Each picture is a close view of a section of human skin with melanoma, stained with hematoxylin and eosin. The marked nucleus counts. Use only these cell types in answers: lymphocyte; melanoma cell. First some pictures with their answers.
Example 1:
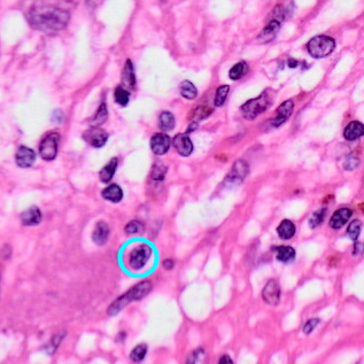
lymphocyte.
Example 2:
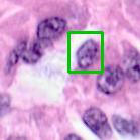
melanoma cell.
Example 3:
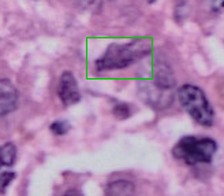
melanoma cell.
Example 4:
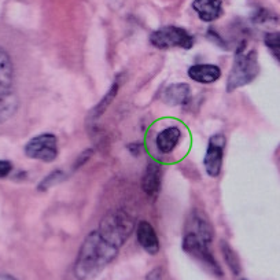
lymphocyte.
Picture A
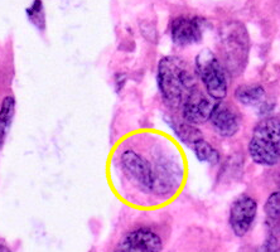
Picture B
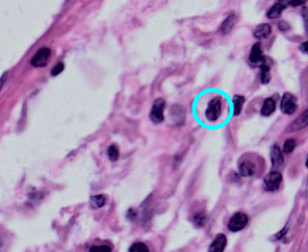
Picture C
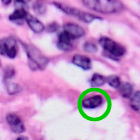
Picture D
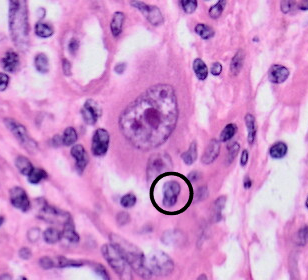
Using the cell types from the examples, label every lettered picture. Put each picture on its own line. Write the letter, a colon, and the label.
A: melanoma cell.
B: lymphocyte.
C: lymphocyte.
D: lymphocyte.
